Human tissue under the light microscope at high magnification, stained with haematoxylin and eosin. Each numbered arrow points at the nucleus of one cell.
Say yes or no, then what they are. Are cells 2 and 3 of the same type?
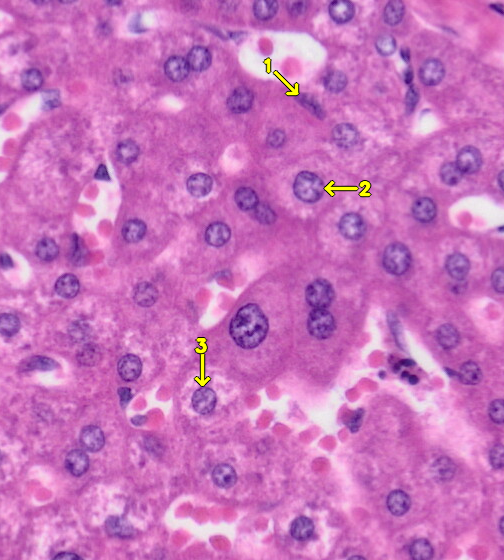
Yes, cell number 2 and cell number 3 are both hepatocytes.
